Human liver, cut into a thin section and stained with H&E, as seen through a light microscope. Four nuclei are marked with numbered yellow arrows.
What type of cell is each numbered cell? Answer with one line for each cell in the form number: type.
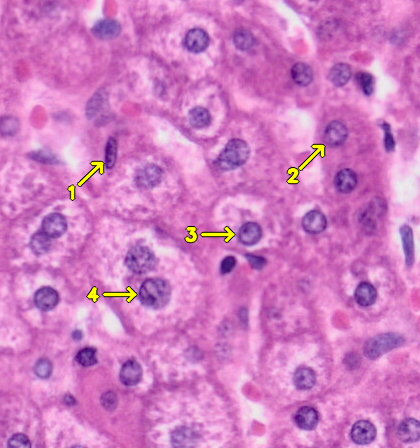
1: fibroblast or stellate cell
2: hepatocyte
3: hepatocyte
4: hepatocyte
